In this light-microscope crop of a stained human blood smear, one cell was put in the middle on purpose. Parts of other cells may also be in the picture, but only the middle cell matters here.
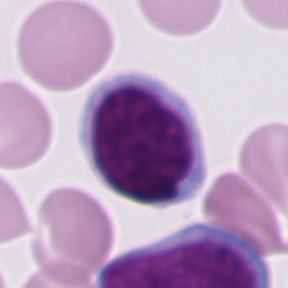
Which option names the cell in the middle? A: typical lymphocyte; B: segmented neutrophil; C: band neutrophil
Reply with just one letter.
A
